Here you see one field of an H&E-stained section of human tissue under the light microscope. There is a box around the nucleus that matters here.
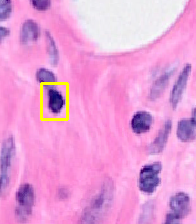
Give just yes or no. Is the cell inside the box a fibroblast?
no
